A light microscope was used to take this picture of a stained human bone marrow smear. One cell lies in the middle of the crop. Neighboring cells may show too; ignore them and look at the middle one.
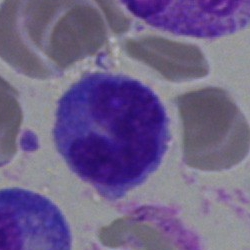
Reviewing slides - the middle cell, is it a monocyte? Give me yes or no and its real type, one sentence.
Yes, this crop has a monocyte at its centre.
